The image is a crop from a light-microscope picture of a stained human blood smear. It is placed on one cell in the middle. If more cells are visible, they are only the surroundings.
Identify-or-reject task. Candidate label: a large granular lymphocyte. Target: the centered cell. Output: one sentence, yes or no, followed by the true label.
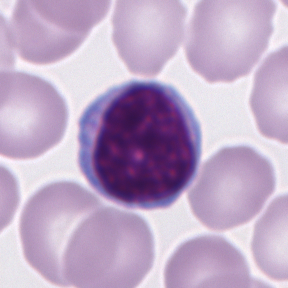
No, the cell in the middle is a typical lymphocyte, not a large granular lymphocyte.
